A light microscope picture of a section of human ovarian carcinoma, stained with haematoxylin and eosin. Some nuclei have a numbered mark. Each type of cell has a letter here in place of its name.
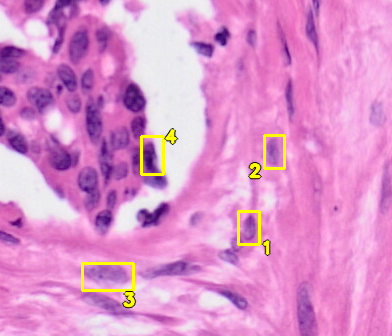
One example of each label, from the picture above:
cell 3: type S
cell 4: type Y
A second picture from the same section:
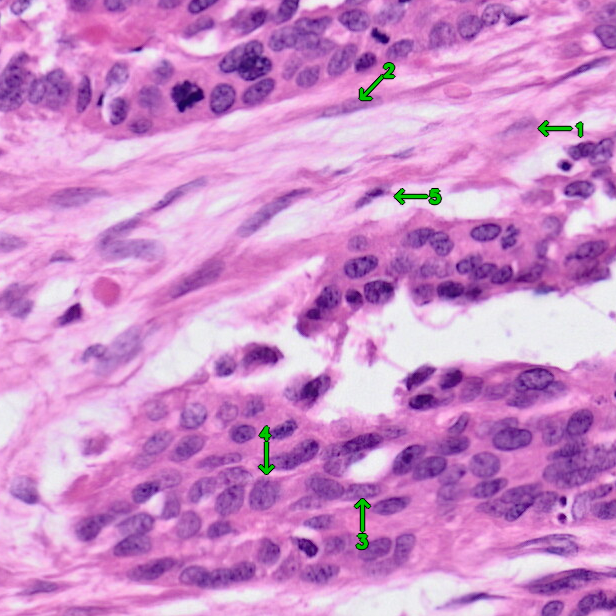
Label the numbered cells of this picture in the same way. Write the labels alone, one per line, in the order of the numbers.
type S
type S
type Y
type Y
type S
